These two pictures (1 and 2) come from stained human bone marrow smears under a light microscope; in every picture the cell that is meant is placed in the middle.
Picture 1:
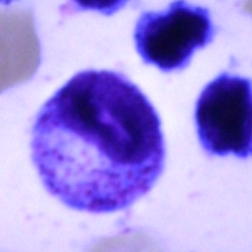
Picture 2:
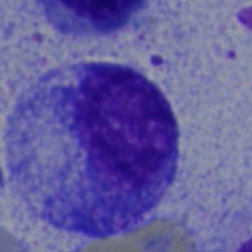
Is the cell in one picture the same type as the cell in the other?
yes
